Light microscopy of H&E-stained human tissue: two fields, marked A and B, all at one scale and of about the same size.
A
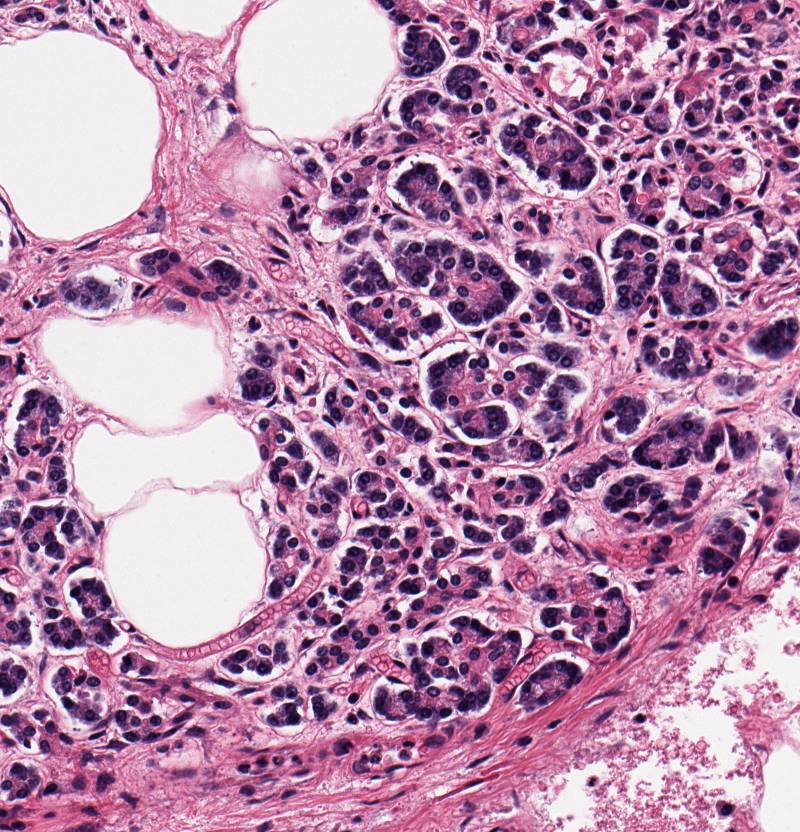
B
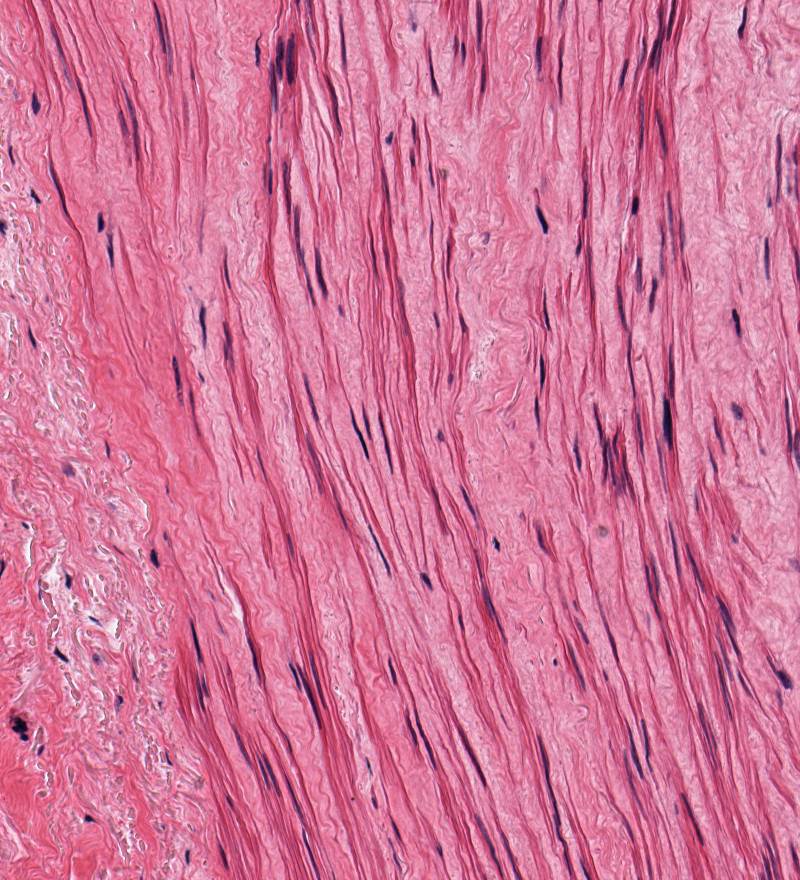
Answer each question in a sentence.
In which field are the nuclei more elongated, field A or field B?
The nuclei are more elongated in field B.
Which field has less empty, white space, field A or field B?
Less of field B is empty and white.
